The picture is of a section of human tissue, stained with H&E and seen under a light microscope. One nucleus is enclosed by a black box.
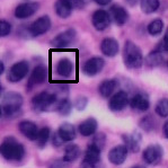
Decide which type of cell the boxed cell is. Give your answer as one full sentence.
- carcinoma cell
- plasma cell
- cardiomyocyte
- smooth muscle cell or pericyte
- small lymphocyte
It is a small lymphocyte that the boxed cell represents.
